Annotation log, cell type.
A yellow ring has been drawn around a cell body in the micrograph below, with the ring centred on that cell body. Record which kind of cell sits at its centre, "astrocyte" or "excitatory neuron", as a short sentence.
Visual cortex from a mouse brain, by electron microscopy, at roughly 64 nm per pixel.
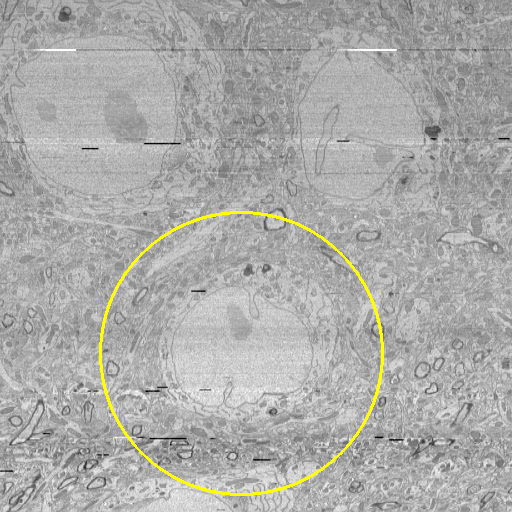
The cell at the centre of this ring is an excitatory neuron.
